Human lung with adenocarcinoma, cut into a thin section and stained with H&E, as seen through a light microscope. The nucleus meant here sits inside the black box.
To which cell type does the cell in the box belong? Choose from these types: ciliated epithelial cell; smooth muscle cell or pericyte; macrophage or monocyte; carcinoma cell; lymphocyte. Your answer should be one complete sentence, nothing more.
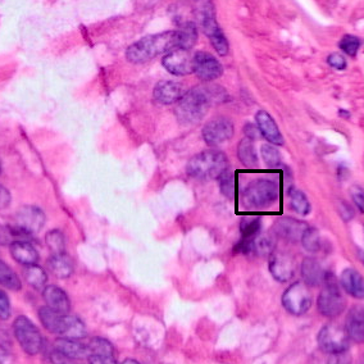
What the cell in the box represents is a ciliated epithelial cell.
